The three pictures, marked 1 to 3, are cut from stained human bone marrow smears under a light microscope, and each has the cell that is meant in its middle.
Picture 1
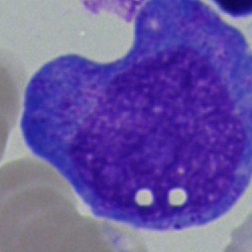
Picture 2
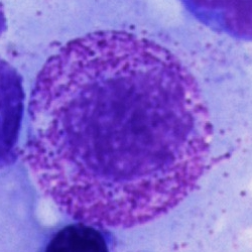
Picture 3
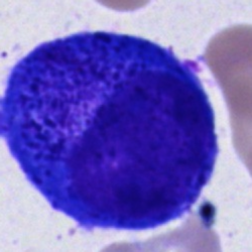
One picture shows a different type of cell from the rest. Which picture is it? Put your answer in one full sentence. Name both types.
All pictures except 2 show promyelocytes; picture 2 shows a myelocyte.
